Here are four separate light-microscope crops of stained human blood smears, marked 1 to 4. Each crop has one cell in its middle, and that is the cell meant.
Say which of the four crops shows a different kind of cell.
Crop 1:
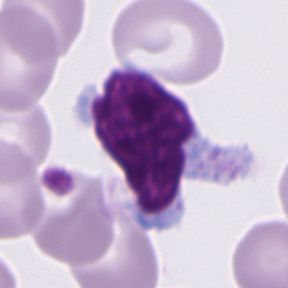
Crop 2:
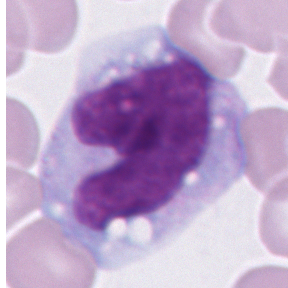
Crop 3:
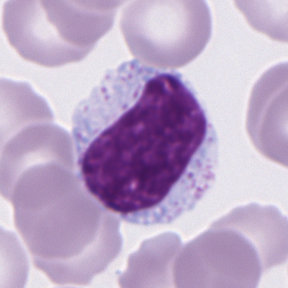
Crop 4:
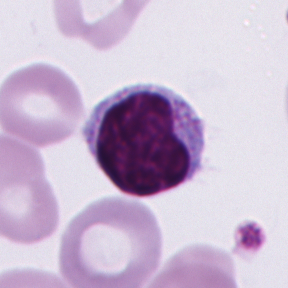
2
